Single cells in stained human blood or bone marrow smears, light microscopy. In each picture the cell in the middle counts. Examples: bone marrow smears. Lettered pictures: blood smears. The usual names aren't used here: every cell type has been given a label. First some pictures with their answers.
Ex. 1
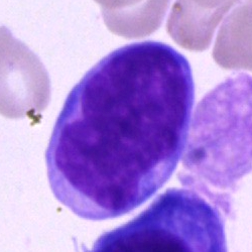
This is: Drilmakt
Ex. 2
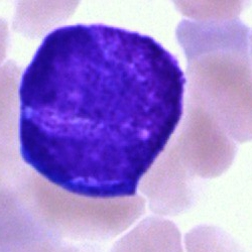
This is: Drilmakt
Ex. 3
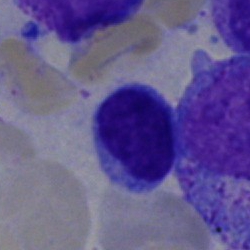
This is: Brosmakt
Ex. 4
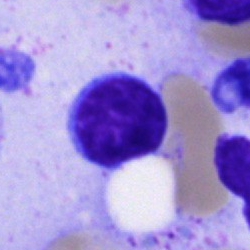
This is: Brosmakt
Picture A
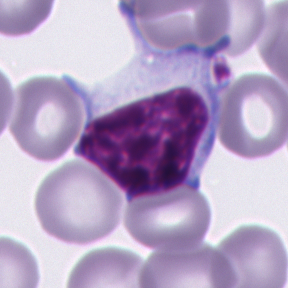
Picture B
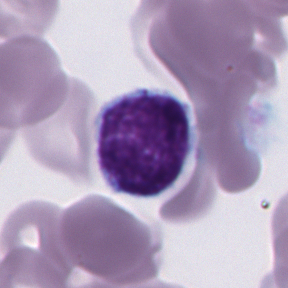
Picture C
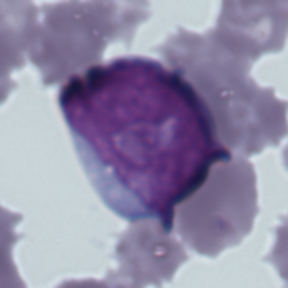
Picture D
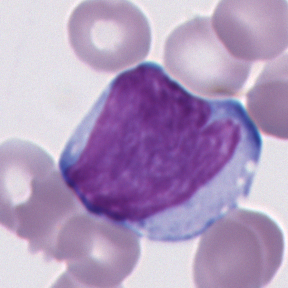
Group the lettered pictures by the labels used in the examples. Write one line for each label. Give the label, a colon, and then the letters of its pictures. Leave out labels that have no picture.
Drilmakt: C, D
Brosmakt: A, B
